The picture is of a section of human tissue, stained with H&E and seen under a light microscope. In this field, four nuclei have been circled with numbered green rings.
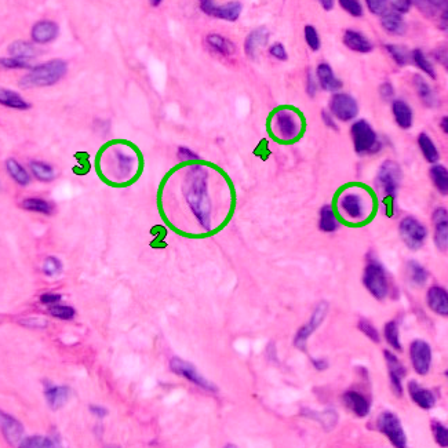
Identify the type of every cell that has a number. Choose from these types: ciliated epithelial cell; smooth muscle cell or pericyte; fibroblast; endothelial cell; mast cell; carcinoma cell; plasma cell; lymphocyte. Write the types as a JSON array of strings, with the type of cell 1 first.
["lymphocyte", "fibroblast", "fibroblast", "plasma cell"]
